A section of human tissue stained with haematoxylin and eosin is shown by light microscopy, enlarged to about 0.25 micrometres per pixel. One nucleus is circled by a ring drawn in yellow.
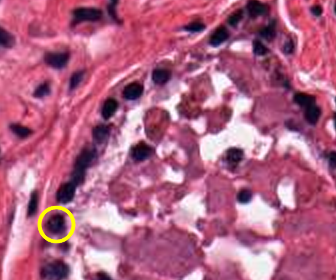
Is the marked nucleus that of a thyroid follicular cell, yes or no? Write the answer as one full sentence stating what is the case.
Yes, the marked nucleus lies within a thyroid follicular cell.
